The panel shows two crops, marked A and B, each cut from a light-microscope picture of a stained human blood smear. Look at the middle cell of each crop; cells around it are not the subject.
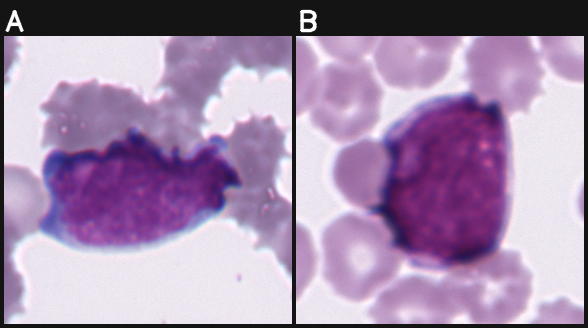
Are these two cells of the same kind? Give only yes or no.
yes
